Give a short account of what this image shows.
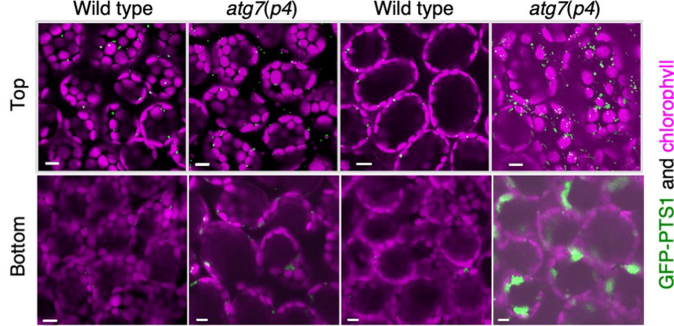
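Leaf mesophyll cells in a grid of confocal views, each cell outlined by many magenta disc-shaped chloroplasts. In several views the chloroplasts crowd the cell periphery, leaving dark central spaces, so the cells appear as magenta rings. Green signal appears as small discrete dots lying between and beside the chloroplasts in most views. In one lower view the green signal instead forms large irregular bright patches, several times the size of the dots, lodged at the edges of the cells. Deeper views are dimmer and less sharp than the upper views.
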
